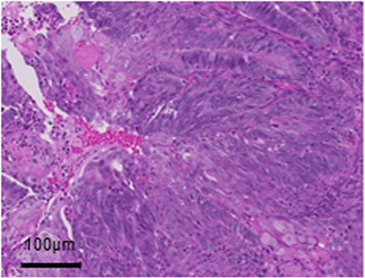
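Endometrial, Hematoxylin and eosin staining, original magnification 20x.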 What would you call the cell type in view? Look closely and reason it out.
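Crowded glandular and solid sheets of tumour cells with dark elongated nuclei. Little intervening stroma.
Conclusion: Endometrioid adenocarcinoma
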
